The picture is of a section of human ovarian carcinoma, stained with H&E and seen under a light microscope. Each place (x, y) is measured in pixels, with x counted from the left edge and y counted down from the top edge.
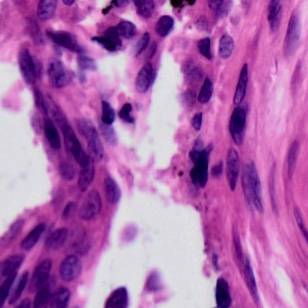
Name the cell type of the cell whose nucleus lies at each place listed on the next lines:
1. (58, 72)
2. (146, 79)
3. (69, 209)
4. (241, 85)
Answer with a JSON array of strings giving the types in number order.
["carcinoma cell", "carcinoma cell", "carcinoma cell", "endothelial cell"]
